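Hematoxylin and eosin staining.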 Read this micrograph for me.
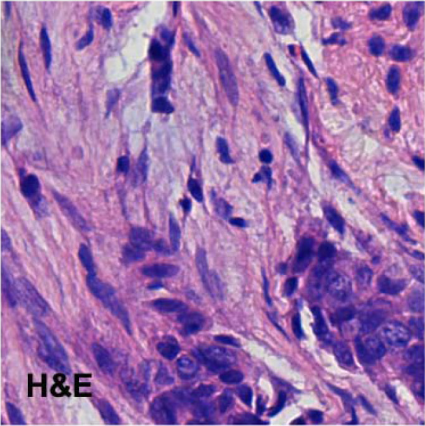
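Pink-stained fibrous stroma runs diagonally across the field. It holds scattered elongated, spindle-shaped nuclei and, at the lower right, a compact cluster of larger cells. These larger cells have rounded to oval, dark purple nuclei, some with visible nucleoli, and moderate amounts of purple-pink cytoplasm.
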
